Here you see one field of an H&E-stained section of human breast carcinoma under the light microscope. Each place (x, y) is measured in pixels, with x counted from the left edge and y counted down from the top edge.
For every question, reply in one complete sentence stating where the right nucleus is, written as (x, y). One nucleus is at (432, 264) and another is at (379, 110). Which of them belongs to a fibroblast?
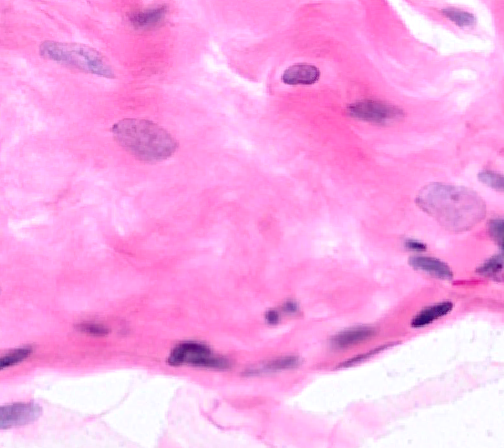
The nucleus at (379, 110) is identified as belonging to a fibroblast.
